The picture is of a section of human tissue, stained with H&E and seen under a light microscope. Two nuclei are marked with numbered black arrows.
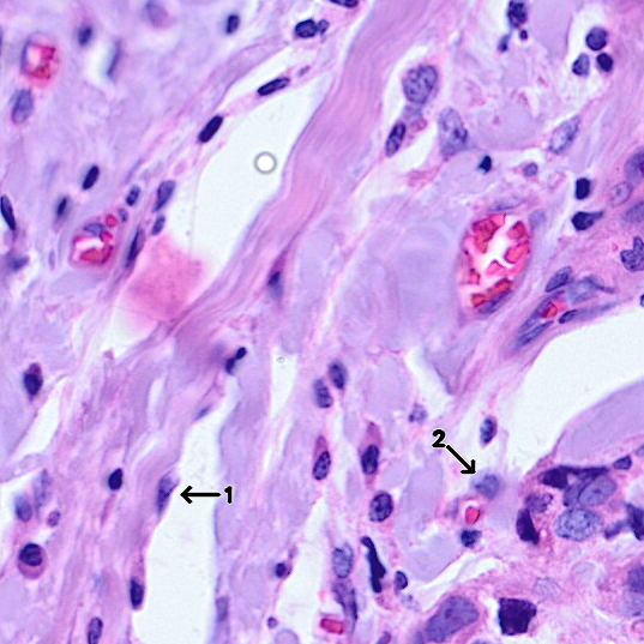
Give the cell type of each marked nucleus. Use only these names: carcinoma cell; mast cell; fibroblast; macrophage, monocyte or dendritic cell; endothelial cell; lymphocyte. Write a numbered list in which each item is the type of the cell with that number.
1. fibroblast
2. endothelial cell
